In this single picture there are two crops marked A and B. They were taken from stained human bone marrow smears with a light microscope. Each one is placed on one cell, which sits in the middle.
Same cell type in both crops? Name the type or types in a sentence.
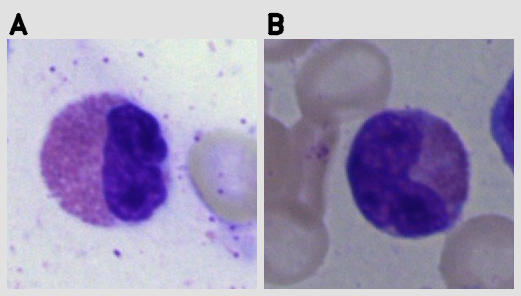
Yes, the cells placed at the centre of both crops are eosinophils.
